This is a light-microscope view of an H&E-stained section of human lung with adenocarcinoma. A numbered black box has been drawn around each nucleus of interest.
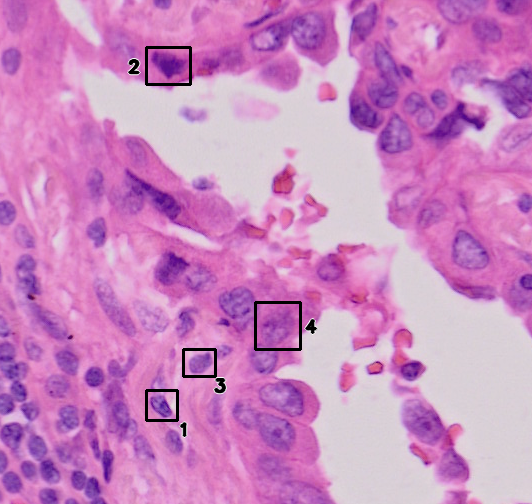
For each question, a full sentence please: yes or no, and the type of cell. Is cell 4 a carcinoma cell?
Yes, the cell that bears the number 4 is a carcinoma cell.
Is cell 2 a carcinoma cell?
Yes, of the numbered cells, number 2 is a carcinoma cell.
